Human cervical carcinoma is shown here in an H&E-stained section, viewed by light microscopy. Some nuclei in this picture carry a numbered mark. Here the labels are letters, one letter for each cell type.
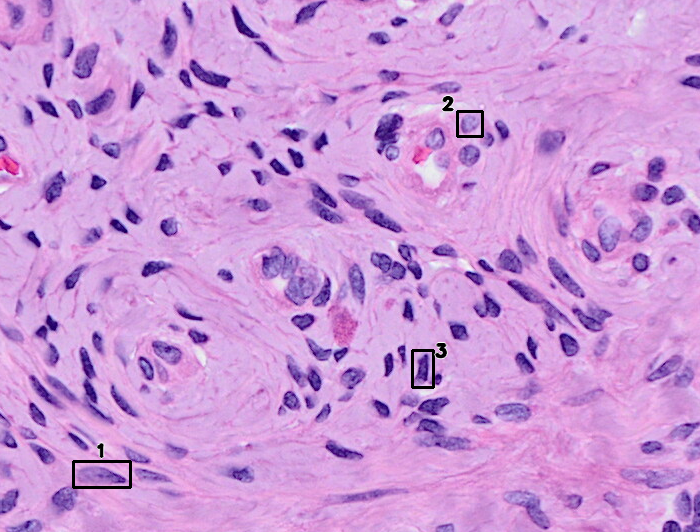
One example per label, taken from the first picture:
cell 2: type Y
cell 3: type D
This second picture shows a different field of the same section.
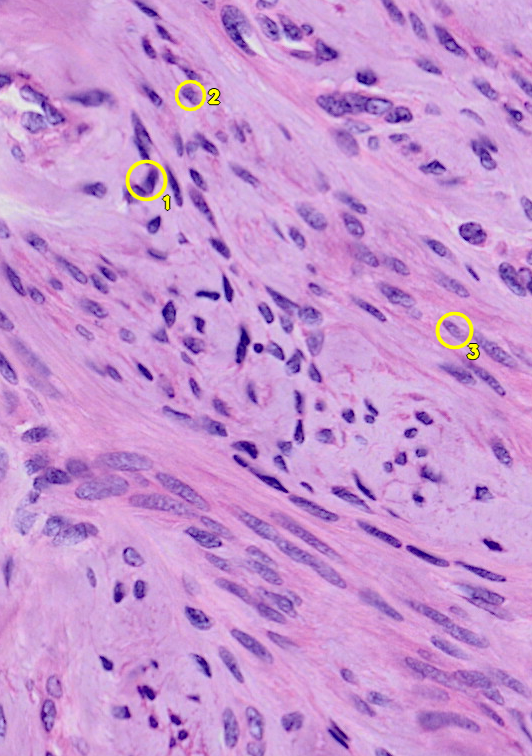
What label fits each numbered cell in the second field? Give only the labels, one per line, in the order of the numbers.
type D
type Y
type Y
